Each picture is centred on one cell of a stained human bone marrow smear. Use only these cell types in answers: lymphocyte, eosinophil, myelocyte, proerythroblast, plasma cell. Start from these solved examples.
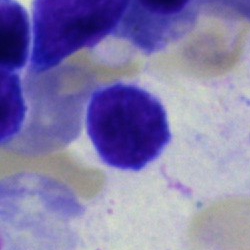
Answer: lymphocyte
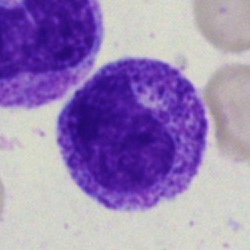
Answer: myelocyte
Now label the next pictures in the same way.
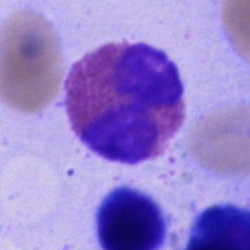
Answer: eosinophil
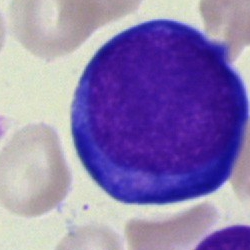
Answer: proerythroblast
